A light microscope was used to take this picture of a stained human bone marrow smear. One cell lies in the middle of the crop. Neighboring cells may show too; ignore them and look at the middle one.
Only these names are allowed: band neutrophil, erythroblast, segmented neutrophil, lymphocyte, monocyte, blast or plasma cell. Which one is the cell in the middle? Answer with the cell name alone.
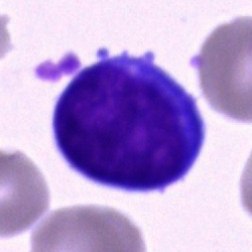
blast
